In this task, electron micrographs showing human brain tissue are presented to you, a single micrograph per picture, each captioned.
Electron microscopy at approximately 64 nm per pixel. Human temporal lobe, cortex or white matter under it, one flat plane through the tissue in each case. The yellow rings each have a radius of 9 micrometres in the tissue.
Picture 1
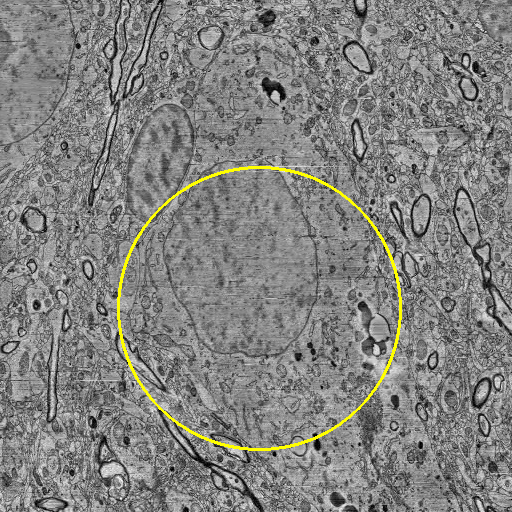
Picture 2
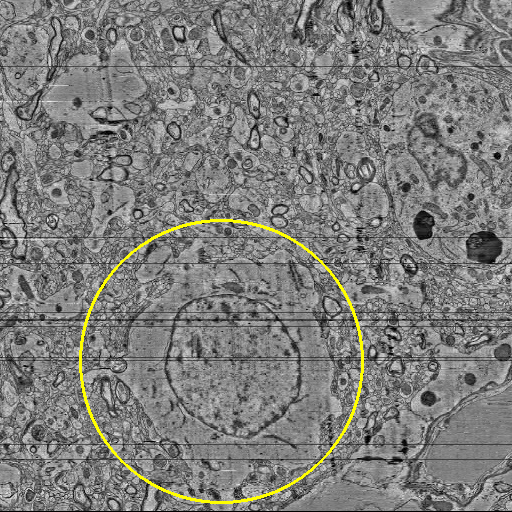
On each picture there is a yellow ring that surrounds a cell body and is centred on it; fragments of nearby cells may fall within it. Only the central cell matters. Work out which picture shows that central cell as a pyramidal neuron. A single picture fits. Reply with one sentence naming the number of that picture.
Of all the pictures, number 1 has the right cell in the centre of its ring.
